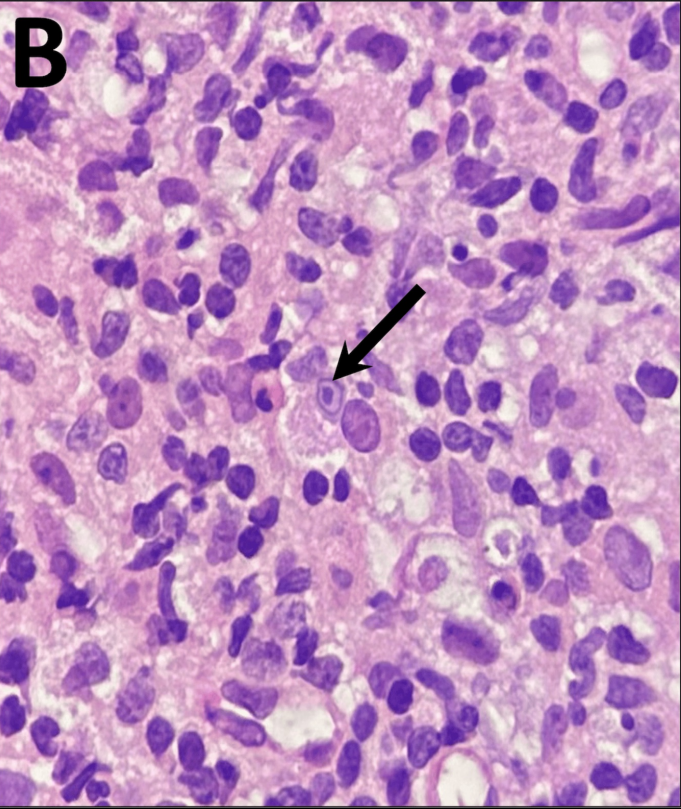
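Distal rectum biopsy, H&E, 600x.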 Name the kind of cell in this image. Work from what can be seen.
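Foamy epithelioid histiocytes. Many large cells have abundant pale pink, finely vacuolated cytoplasm. Their nuclei are oval to bean-shaped with fine chromatin. Smaller dark round lymphocyte-like nuclei are scattered among them.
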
